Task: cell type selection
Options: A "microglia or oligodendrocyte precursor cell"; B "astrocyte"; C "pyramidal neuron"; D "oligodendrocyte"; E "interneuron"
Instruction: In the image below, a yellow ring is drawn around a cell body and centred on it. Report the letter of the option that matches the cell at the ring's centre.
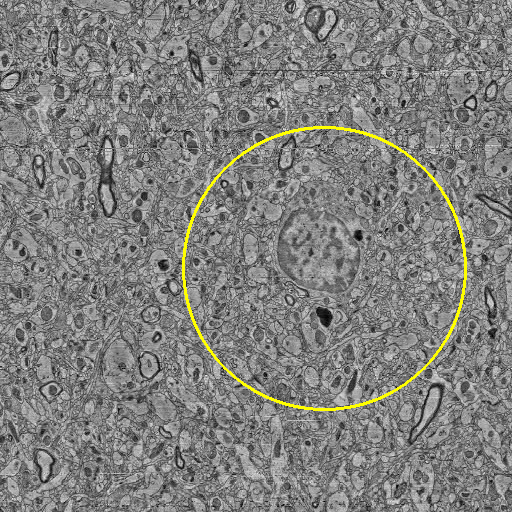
D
